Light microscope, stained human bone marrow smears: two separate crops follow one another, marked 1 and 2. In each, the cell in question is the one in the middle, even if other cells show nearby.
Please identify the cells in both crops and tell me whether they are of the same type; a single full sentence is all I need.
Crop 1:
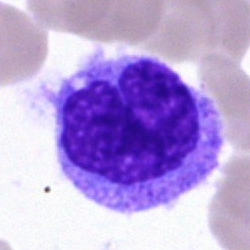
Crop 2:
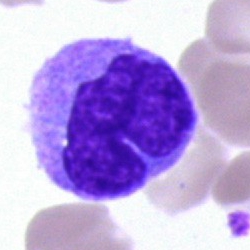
Yes, both crops show monocytes as their central cells.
